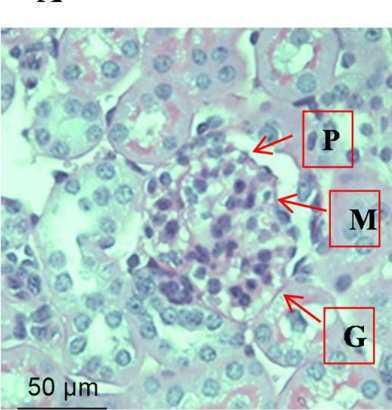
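A renal glomerulus lies at the centre, surrounded by cross-sections of renal tubules. The glomerular tuft is compact and round, with many small dark nuclei and only faint pink material between them. A narrow clear space separates the tuft from a thin surrounding capsule. The surrounding tubules are lined by cuboidal epithelial cells with round, pale blue nuclei and greyish cytoplasm, some with thin pink luminal borders.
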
